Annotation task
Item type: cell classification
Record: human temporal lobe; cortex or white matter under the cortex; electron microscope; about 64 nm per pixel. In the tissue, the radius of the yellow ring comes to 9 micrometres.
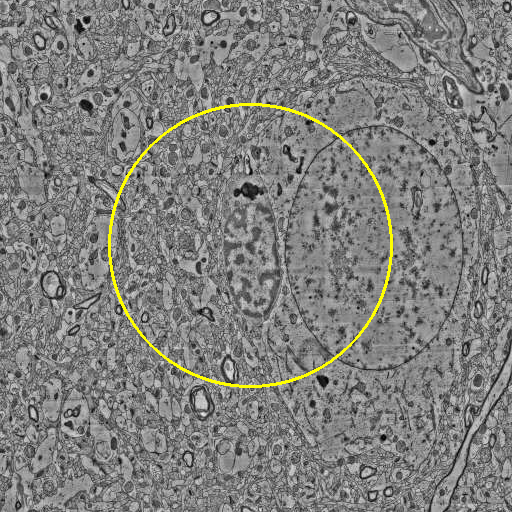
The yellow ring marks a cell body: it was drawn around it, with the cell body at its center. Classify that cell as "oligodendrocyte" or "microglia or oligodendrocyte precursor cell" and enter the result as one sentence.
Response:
The ring's center falls on an oligodendrocyte.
